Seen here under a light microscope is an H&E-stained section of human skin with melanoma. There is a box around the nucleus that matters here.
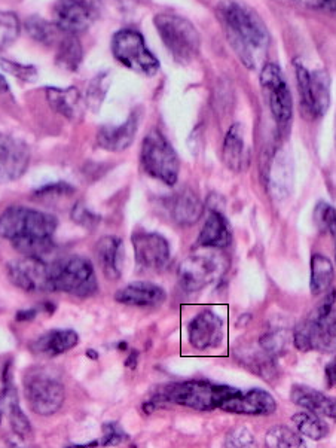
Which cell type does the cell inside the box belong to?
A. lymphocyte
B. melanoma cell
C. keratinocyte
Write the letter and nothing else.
B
